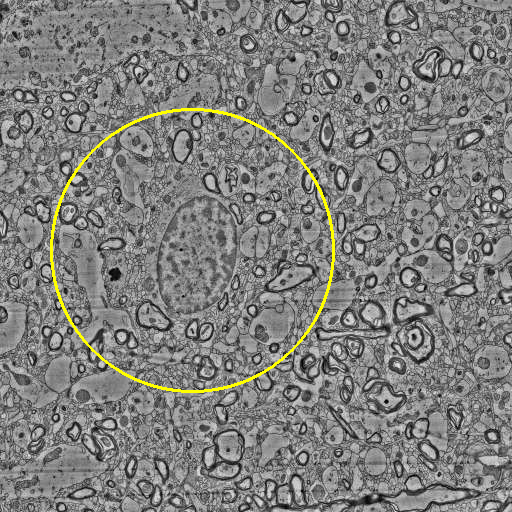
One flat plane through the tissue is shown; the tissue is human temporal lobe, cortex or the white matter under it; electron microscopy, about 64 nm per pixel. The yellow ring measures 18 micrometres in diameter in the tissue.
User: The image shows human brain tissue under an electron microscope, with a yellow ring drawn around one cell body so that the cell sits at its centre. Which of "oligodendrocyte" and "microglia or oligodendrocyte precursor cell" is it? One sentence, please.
At the centre of the ring sits an oligodendrocyte.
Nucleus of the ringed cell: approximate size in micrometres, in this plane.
Roughly 8 micrometres by 5 micrometres, so the nucleus is clearly longer than it is wide in this plane.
